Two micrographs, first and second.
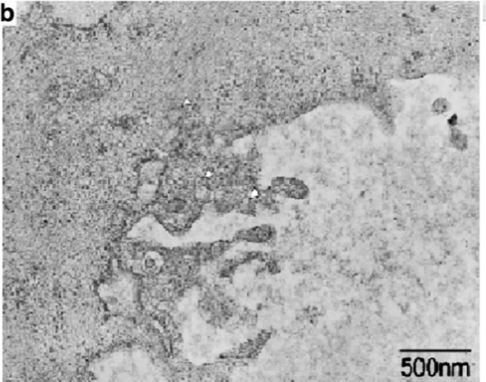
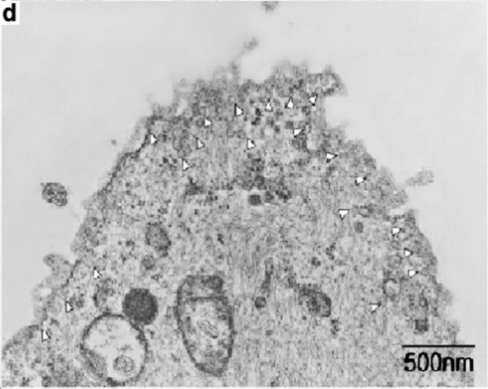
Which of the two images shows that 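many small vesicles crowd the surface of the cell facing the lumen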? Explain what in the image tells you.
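The second image. Second image: numerous small round vesicles are marked along the luminal surface. First image: only a few vesicular profiles are marked at the cell border.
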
